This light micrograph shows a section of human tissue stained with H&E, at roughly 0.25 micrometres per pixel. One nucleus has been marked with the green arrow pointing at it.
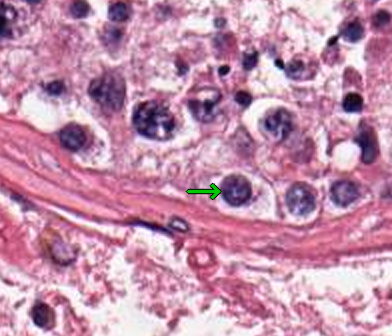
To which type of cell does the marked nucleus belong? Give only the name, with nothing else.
spermatogonium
